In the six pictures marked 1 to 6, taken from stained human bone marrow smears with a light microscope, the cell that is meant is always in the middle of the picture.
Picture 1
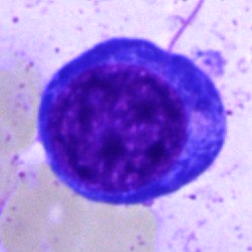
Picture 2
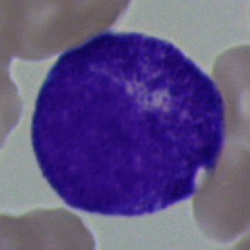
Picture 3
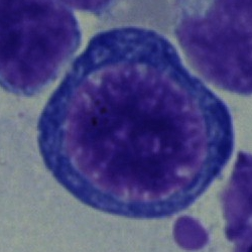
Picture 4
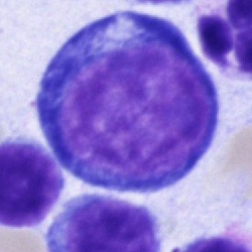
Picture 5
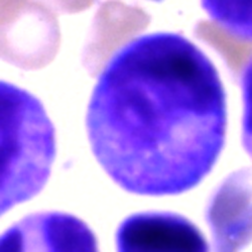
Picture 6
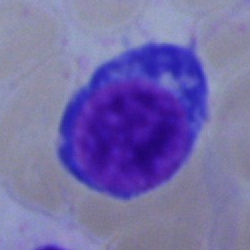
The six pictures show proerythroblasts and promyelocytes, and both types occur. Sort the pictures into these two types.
1: proerythroblast
2: promyelocyte
3: proerythroblast
4: proerythroblast
5: promyelocyte
6: proerythroblast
